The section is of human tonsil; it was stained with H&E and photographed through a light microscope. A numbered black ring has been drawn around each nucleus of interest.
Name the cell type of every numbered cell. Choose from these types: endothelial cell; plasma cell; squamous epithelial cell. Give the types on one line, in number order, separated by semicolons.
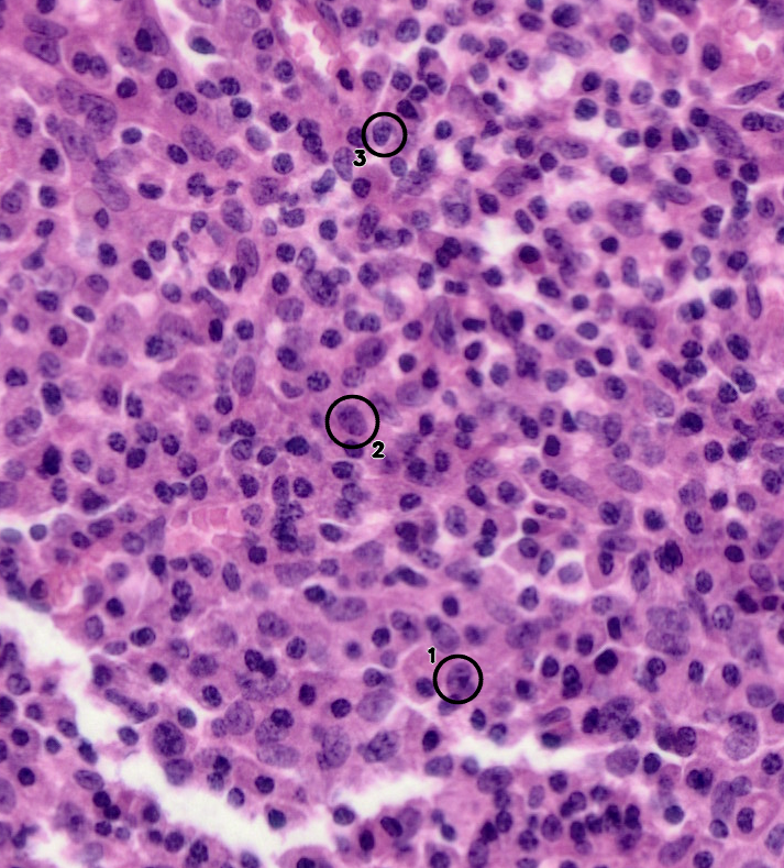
squamous epithelial cell; squamous epithelial cell; plasma cell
